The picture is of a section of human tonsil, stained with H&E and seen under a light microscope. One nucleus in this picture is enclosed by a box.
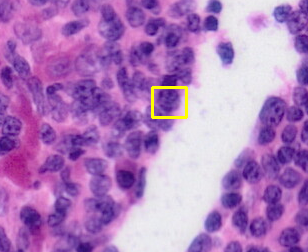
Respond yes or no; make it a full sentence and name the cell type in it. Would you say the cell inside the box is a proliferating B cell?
Yes, correct on this one: the cell inside the box is a proliferating B cell.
